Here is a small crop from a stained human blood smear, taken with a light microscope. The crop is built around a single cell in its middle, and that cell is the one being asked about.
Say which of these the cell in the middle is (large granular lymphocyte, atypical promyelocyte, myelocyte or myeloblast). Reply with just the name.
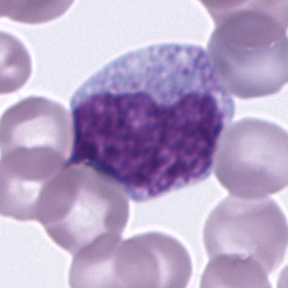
myelocyte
